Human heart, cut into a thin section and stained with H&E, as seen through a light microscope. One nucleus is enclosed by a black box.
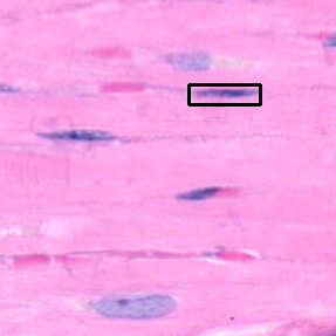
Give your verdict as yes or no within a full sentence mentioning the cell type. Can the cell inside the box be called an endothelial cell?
Yes, classifying the cell inside the box as an endothelial cell is accurate.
